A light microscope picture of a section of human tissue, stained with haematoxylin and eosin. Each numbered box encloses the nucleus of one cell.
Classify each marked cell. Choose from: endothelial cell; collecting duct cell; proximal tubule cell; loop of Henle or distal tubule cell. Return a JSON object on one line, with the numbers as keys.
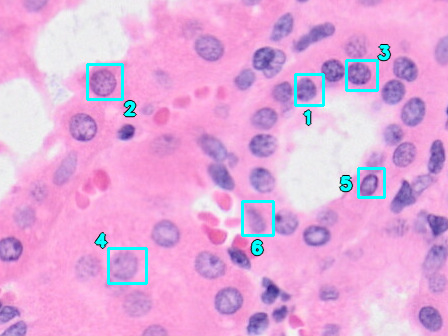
{"1": "collecting duct cell", "2": "proximal tubule cell", "3": "collecting duct cell", "4": "proximal tubule cell", "5": "collecting duct cell", "6": "collecting duct cell"}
